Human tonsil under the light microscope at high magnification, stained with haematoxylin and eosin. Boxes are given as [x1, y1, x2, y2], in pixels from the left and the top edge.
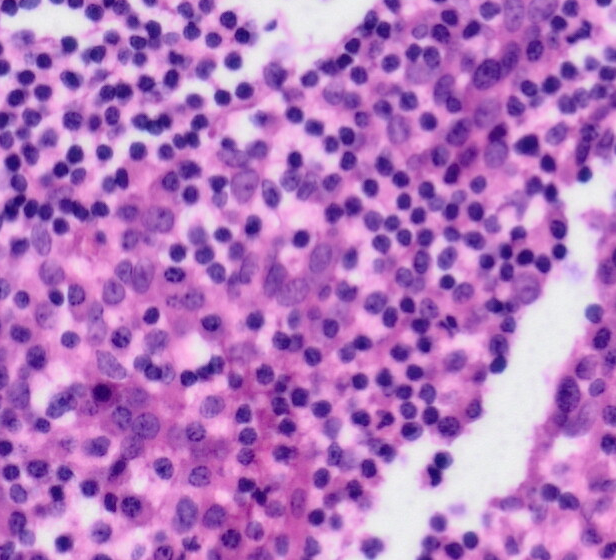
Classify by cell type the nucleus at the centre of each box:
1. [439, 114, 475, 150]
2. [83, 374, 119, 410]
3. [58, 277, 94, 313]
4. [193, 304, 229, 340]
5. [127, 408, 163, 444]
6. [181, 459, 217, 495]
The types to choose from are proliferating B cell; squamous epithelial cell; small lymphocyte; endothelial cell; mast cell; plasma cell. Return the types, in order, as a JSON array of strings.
["squamous epithelial cell", "plasma cell", "plasma cell", "plasma cell", "squamous epithelial cell", "plasma cell"]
